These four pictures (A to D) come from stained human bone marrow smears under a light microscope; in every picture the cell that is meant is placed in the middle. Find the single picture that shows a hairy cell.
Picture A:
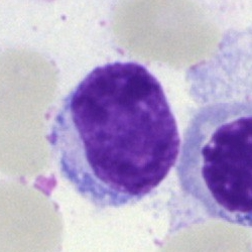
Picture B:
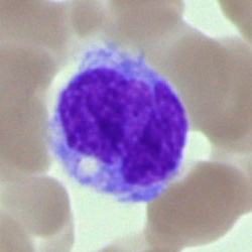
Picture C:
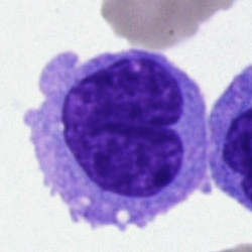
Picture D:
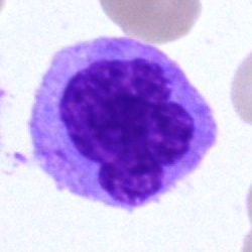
A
